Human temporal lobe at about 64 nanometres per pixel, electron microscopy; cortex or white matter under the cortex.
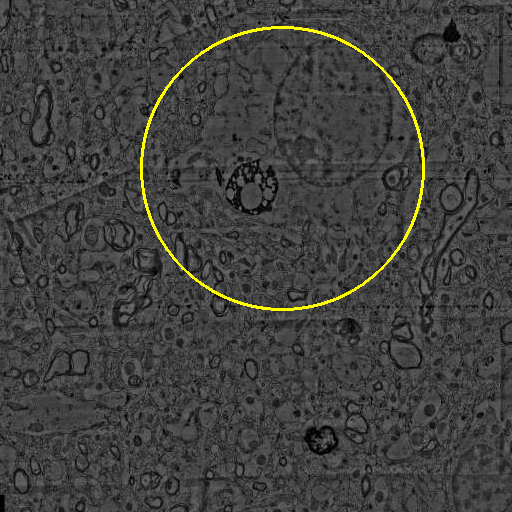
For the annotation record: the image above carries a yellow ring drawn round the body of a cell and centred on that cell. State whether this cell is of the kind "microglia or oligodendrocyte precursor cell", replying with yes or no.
Yes, this cell is of that kind.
